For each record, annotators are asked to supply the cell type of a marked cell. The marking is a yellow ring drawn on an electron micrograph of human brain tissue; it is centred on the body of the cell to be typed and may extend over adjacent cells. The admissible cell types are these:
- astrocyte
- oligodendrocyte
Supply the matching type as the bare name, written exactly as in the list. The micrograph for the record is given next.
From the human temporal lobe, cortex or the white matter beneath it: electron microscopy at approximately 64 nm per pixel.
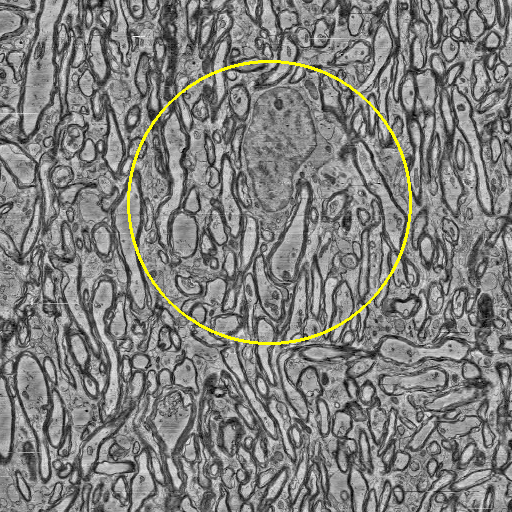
oligodendrocyte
